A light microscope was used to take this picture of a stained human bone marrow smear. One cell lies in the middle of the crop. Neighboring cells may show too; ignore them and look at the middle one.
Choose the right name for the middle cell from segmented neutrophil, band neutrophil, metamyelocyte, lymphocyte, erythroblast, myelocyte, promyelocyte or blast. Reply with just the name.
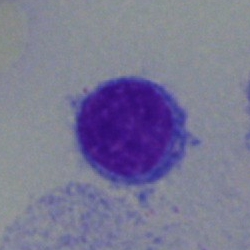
lymphocyte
